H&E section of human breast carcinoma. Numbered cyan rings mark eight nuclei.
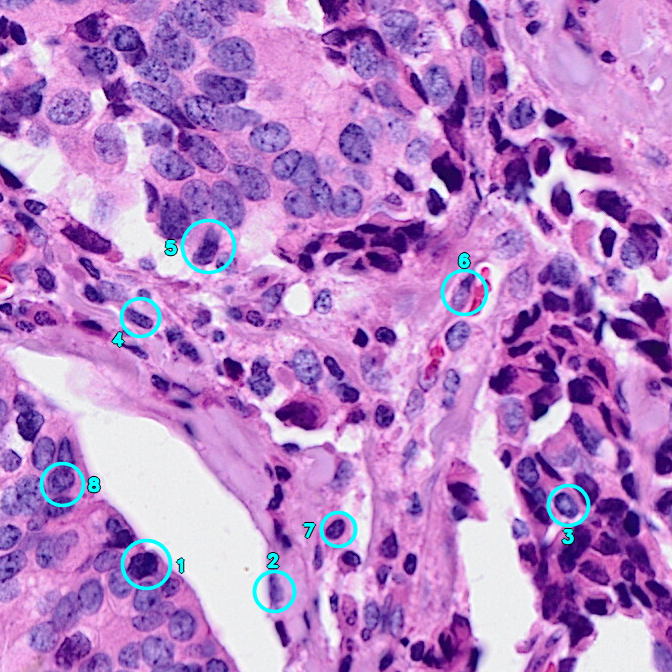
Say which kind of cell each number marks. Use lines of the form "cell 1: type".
cell 1: carcinoma cell
cell 2: fibroblast
cell 3: carcinoma cell
cell 4: mast cell
cell 5: carcinoma cell
cell 6: endothelial cell
cell 7: mast cell
cell 8: carcinoma cell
